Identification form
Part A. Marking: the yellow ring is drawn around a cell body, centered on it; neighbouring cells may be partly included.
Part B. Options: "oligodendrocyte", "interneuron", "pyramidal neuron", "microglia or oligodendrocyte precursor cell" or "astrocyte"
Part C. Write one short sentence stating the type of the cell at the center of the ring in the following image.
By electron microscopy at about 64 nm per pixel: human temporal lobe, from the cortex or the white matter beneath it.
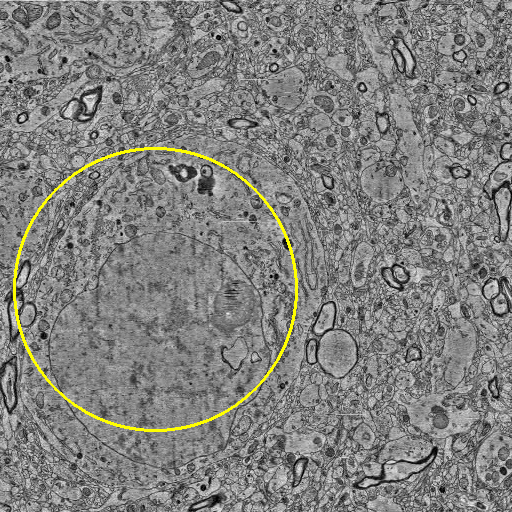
The center of the ring holds a pyramidal neuron.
